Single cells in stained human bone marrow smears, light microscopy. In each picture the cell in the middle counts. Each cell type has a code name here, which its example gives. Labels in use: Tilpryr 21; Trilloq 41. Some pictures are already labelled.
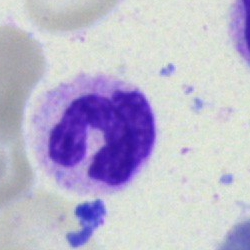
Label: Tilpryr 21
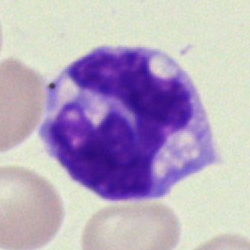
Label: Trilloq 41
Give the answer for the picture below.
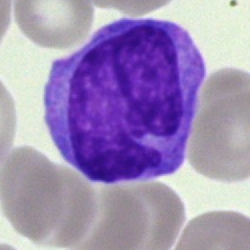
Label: Trilloq 41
